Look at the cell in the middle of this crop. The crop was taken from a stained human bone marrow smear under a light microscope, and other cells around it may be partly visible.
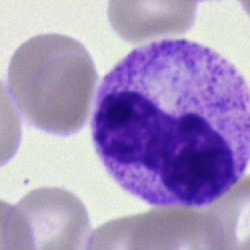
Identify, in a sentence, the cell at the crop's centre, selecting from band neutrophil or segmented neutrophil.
The cell centered in this field of view is a band neutrophil.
